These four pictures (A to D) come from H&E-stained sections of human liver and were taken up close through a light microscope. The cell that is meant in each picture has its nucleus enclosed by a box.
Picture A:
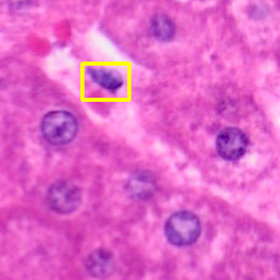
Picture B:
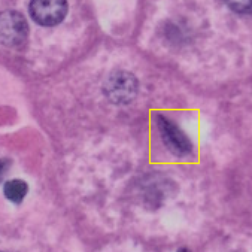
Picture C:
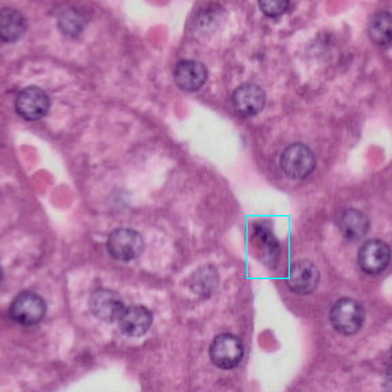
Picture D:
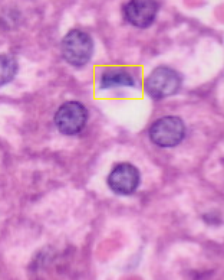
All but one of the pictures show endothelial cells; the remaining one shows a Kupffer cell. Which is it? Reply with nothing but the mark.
C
